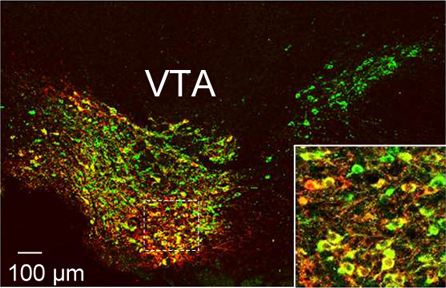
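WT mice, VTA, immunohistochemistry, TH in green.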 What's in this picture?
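A dense field of rounded neuronal cell bodies with fine processes fills a broad wedge of the ventral midbrain, labelled green and red. In the enlarged inset most cell bodies appear yellow to orange, so the green and red labels coincide in the same neurons. A looser group of green cell bodies and fibres extends to the upper right, with little red there.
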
